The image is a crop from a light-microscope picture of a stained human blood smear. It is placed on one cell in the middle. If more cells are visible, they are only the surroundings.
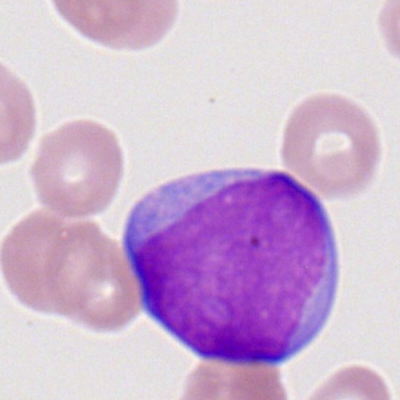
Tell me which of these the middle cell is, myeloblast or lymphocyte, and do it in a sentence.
The central cell, amid any neighbouring cells, is a myeloblast.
